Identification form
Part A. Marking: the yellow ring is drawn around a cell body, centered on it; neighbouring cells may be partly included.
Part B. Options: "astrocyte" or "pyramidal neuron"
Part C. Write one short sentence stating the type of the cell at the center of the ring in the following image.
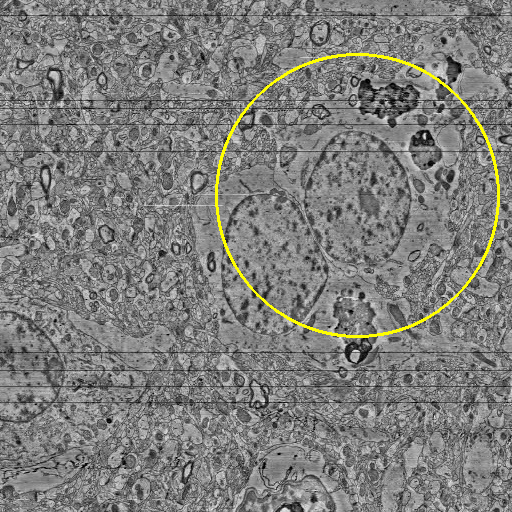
The center of the ring holds an astrocyte.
